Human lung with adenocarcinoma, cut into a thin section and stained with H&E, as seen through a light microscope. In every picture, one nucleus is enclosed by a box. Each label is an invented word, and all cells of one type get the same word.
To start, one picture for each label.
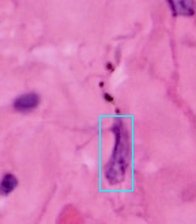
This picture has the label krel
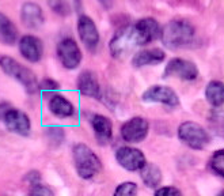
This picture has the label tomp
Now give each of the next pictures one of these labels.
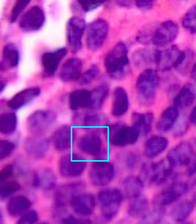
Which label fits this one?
tomp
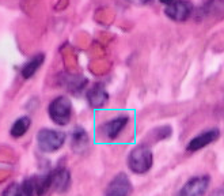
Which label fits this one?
tomp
